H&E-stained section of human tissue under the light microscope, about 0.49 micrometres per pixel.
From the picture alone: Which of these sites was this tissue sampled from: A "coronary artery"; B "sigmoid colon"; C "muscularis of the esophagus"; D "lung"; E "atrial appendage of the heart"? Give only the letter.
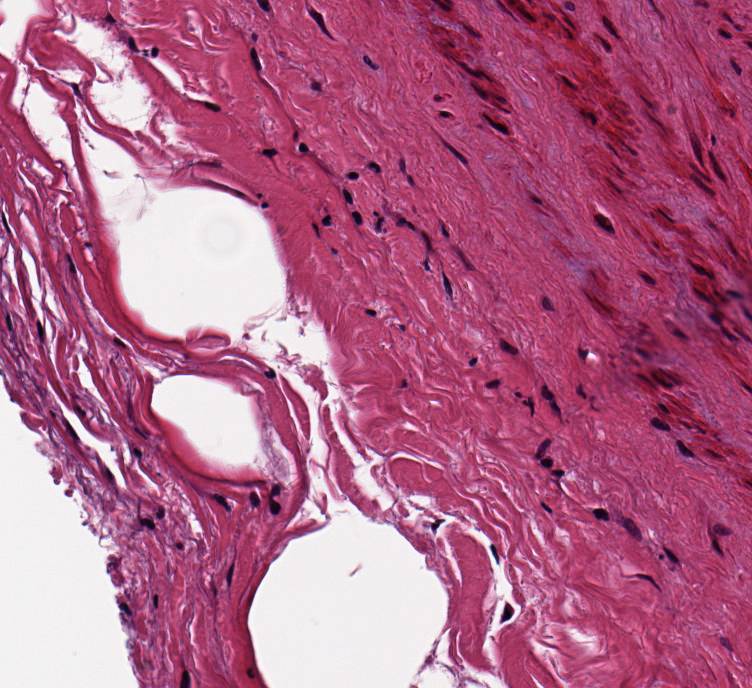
A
